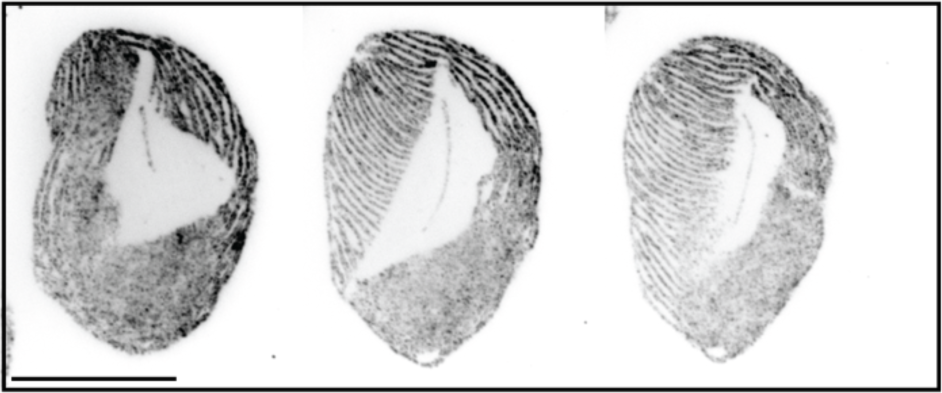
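Many thin, parallel dark lamellae, the thylakoids, run close together and curve along the outline of the roughly oval structure. They surround a pale, empty-looking central region. The lower part of each slice looks finely granular rather than lamellar.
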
